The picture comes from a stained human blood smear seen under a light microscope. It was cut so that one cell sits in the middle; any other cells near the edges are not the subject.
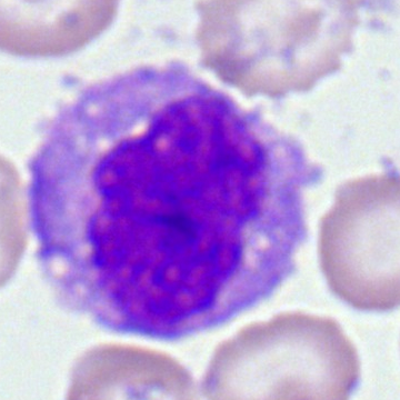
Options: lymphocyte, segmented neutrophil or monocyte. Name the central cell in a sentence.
In the middle of this smear crop is a monocyte.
